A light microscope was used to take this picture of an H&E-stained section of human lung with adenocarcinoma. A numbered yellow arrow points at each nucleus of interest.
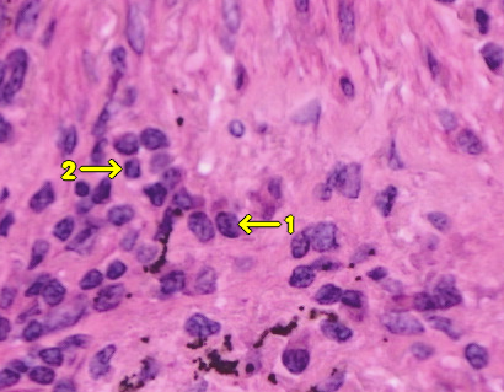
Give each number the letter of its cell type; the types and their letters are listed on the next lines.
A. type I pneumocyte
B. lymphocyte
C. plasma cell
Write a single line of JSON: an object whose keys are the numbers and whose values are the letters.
{"1": "C", "2": "B"}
